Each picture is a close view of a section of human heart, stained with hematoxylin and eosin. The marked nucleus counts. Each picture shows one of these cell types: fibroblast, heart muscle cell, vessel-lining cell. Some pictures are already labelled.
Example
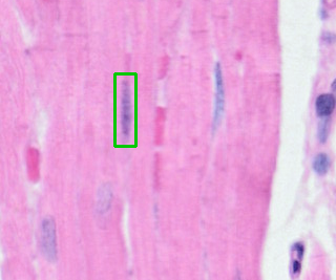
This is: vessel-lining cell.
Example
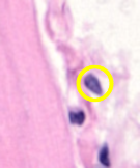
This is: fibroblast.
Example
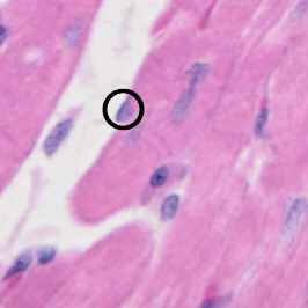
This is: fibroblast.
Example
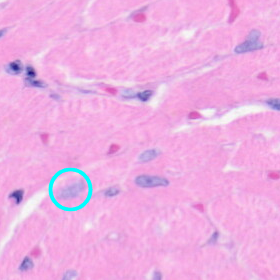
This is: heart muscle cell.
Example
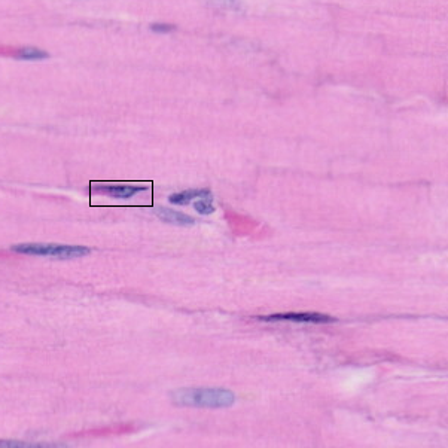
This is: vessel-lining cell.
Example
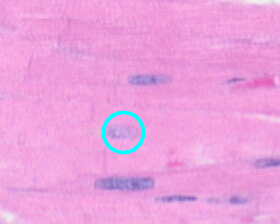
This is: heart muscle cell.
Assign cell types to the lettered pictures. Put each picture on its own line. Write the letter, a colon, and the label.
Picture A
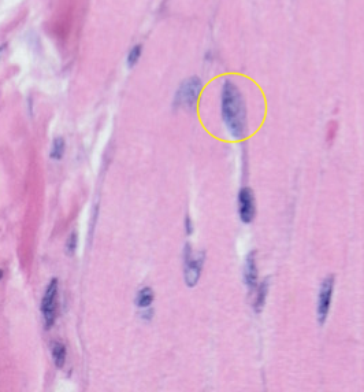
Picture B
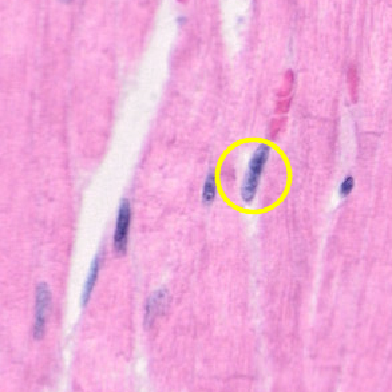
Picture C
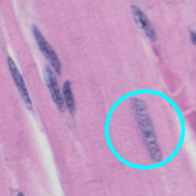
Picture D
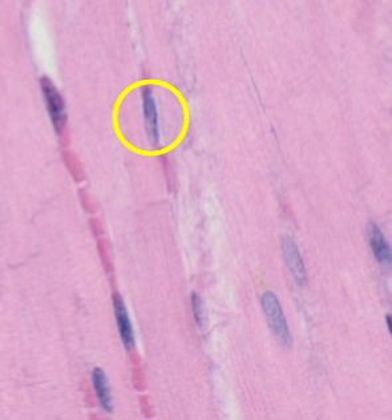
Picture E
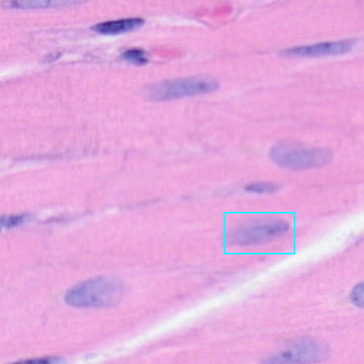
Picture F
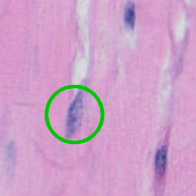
A: fibroblast.
B: fibroblast.
C: heart muscle cell.
D: vessel-lining cell.
E: heart muscle cell.
F: fibroblast.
